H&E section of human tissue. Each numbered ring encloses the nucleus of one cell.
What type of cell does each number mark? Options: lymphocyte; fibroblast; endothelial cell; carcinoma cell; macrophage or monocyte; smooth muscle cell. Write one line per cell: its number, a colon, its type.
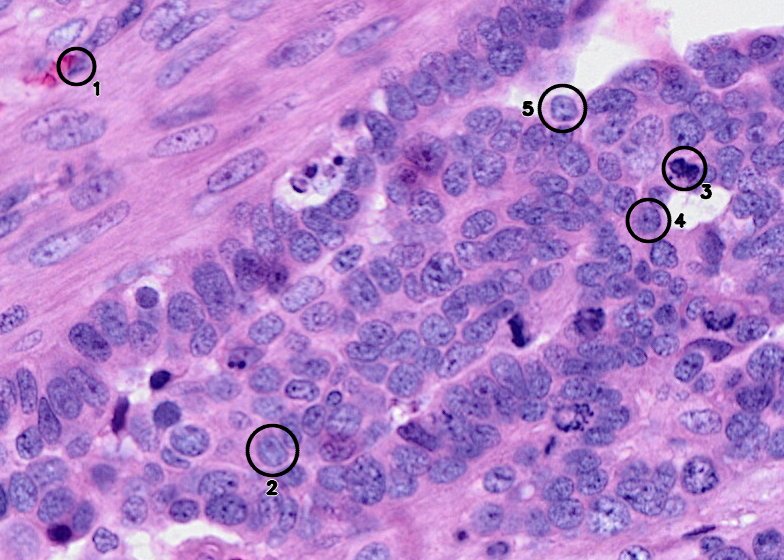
1: endothelial cell
2: carcinoma cell
3: carcinoma cell
4: carcinoma cell
5: macrophage or monocyte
